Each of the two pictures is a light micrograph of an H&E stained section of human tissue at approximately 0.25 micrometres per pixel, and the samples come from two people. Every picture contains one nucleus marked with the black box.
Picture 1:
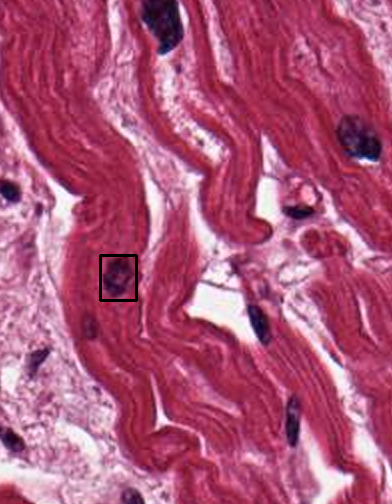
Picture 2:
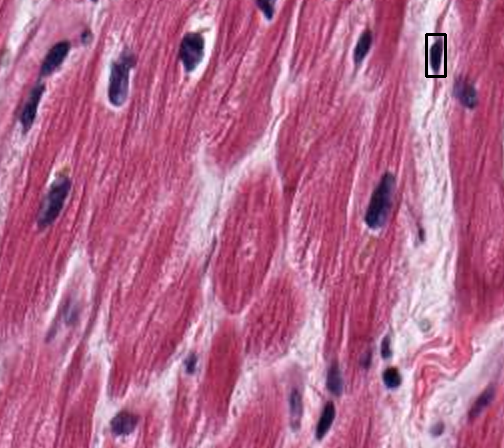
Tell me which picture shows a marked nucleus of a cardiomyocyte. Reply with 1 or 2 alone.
1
